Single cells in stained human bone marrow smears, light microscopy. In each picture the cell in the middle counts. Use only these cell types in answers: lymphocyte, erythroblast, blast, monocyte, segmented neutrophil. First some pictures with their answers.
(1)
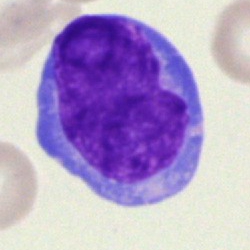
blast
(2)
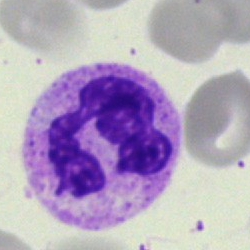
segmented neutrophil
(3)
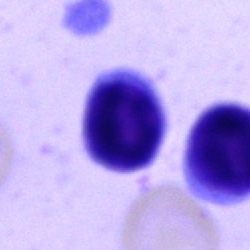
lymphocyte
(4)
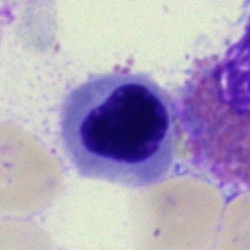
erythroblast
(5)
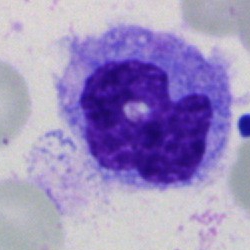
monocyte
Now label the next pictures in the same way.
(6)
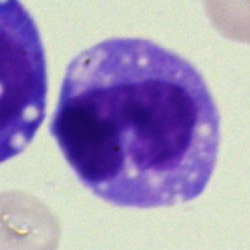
monocyte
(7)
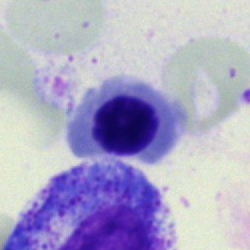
erythroblast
